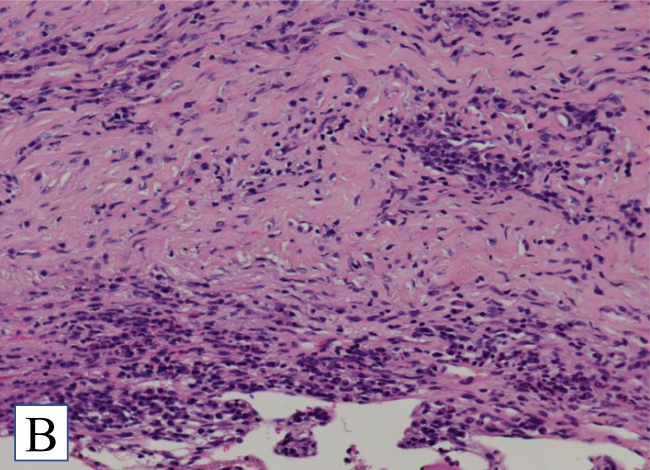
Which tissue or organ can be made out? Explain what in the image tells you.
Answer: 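Much of the field is taken up by pale pink wavy fibres between the cells.
Answer: collagenous tissue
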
